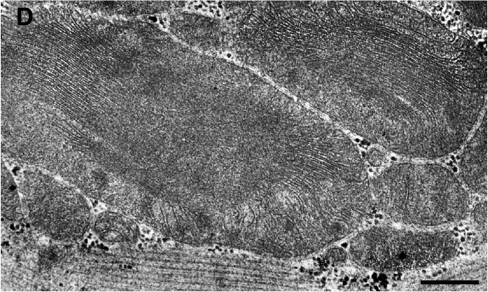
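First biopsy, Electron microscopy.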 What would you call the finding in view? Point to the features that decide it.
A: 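Mitochondria of abnormally large size containing densely packed cristae. A very large elongated membrane-bound organelle fills much of the field. It is filled with many closely spaced parallel membranes.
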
